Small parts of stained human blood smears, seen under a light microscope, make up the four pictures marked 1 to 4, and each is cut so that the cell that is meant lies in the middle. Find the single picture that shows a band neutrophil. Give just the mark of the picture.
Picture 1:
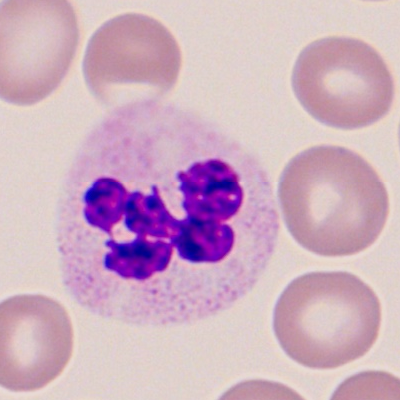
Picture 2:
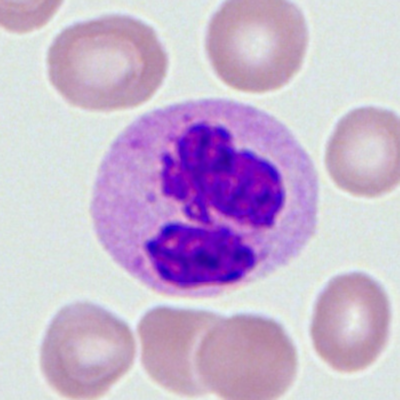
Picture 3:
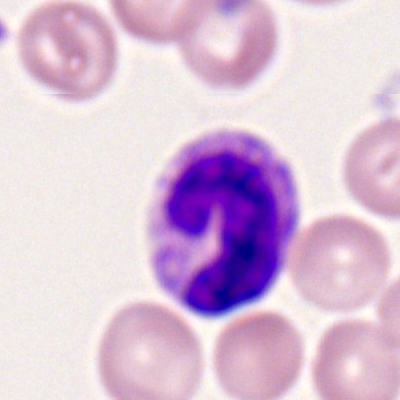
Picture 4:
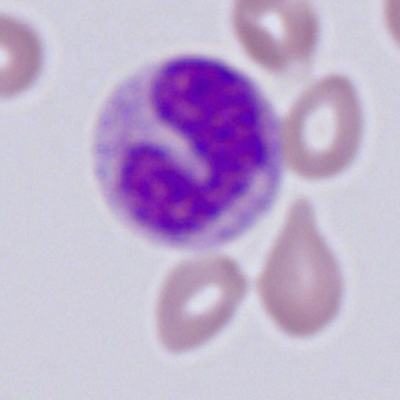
4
